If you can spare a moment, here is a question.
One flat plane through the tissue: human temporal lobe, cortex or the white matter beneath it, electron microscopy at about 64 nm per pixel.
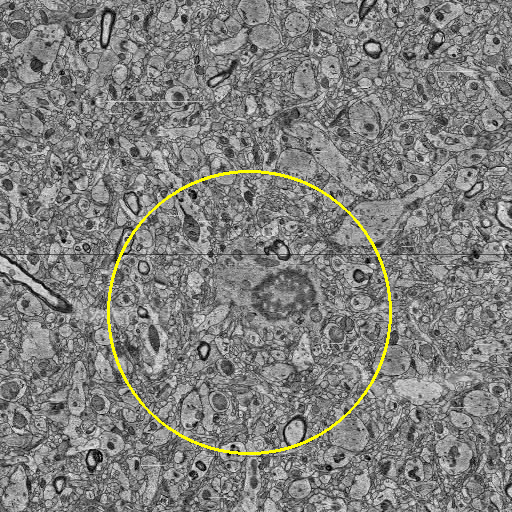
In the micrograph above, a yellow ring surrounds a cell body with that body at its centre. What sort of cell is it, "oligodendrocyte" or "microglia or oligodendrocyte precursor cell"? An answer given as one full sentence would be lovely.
Centred inside the yellow ring, the cell body shown belongs to an oligodendrocyte in this micrograph.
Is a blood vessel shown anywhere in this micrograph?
No, no blood vessel shows in the picture.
